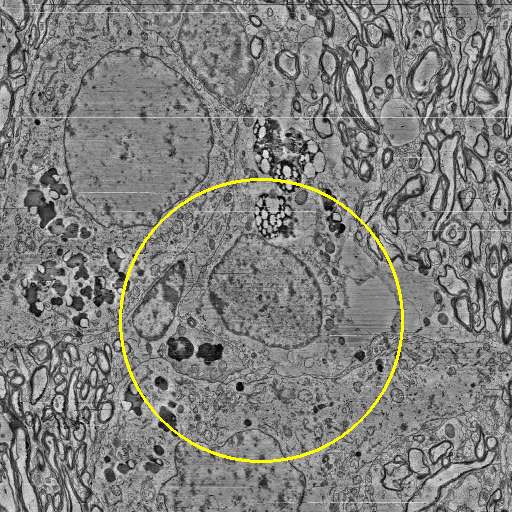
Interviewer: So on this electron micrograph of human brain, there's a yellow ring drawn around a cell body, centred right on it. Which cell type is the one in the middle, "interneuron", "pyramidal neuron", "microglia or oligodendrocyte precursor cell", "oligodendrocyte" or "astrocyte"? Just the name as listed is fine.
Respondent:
astrocyte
